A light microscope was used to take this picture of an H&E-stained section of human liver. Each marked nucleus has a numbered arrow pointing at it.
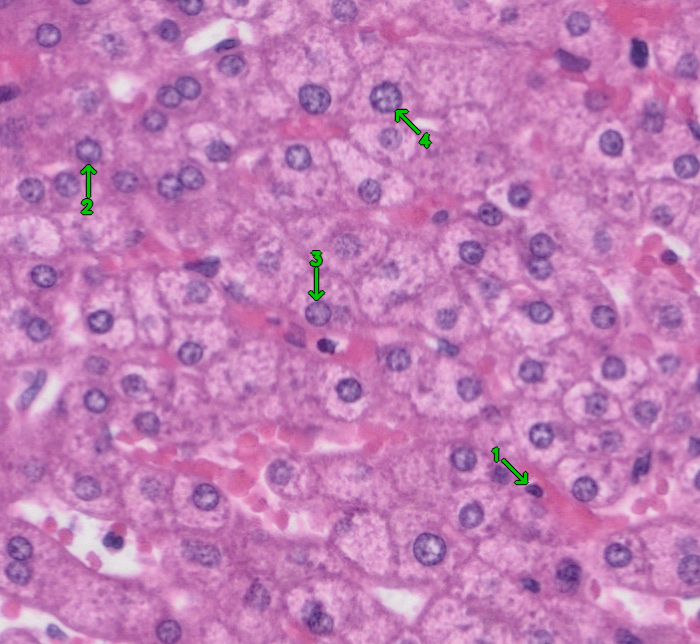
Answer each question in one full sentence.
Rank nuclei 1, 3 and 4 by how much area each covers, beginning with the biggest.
By area, largest first, they run 4, 3, 1.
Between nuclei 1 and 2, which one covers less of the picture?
Nucleus 1 covers less area, with nucleus 2 about 2.5 times as large.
